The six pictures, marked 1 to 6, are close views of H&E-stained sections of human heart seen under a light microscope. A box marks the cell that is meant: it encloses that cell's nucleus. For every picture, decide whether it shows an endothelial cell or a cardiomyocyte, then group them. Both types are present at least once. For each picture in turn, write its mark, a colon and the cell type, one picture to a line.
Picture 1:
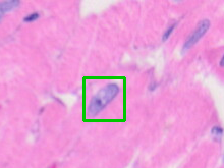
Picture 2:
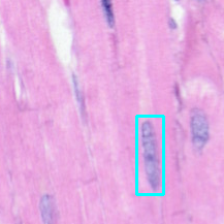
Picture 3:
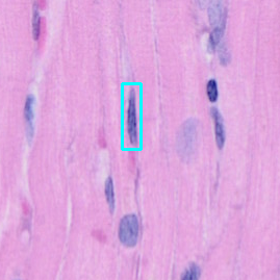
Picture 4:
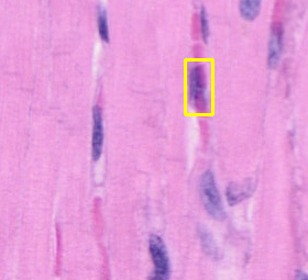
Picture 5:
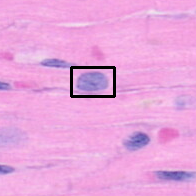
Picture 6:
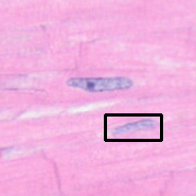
1: cardiomyocyte
2: cardiomyocyte
3: endothelial cell
4: endothelial cell
5: cardiomyocyte
6: cardiomyocyte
